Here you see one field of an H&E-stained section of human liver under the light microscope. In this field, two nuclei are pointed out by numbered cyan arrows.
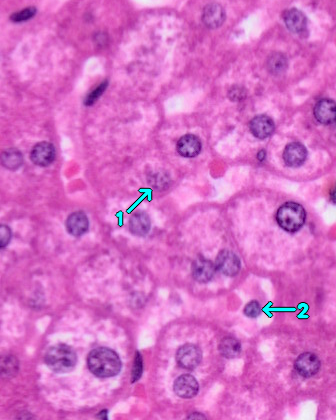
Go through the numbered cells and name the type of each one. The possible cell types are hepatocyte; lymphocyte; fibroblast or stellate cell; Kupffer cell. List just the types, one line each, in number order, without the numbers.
hepatocyte
lymphocyte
